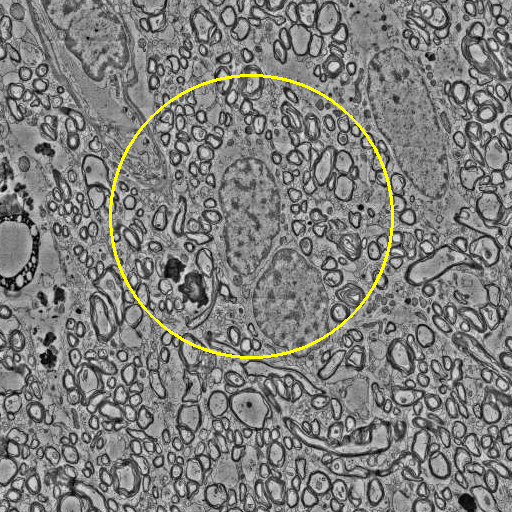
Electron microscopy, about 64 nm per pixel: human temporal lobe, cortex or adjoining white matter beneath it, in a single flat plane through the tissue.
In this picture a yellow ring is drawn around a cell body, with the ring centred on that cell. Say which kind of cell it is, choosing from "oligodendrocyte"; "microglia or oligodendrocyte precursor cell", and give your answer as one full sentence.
Here it is an oligodendrocyte that sits at the centre of the drawn yellow ring.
